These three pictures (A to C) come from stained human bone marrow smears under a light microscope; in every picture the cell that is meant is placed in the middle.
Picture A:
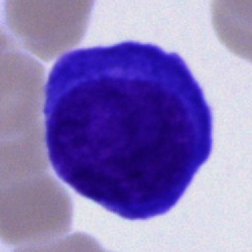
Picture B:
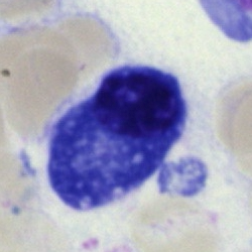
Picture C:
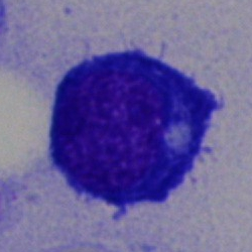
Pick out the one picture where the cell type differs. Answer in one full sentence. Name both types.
All pictures except C show plasma cells; picture C shows a proerythroblast.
